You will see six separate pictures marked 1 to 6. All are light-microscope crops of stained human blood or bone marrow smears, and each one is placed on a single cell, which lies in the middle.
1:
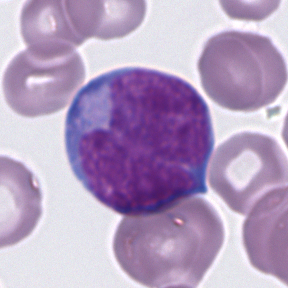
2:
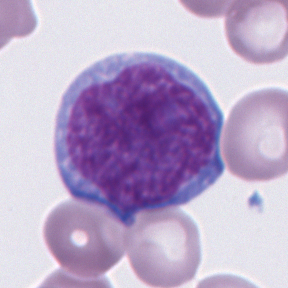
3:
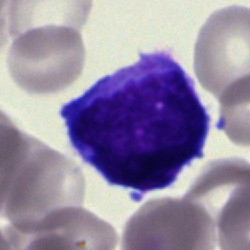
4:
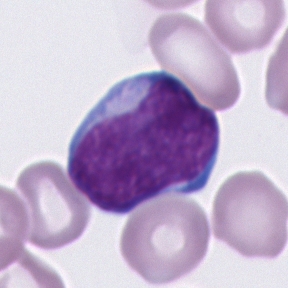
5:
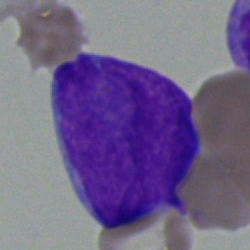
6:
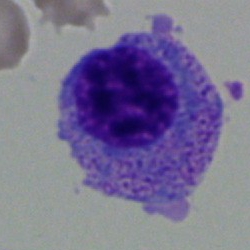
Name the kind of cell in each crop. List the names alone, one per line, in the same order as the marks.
blast
blast
blast
blast
blast
myelocyte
